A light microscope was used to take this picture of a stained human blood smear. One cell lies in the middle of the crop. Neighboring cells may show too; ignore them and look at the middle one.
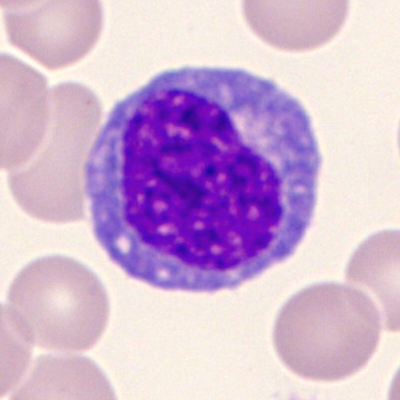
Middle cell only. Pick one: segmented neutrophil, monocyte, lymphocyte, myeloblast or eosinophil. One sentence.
For this crop, the central cell is a monocyte.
